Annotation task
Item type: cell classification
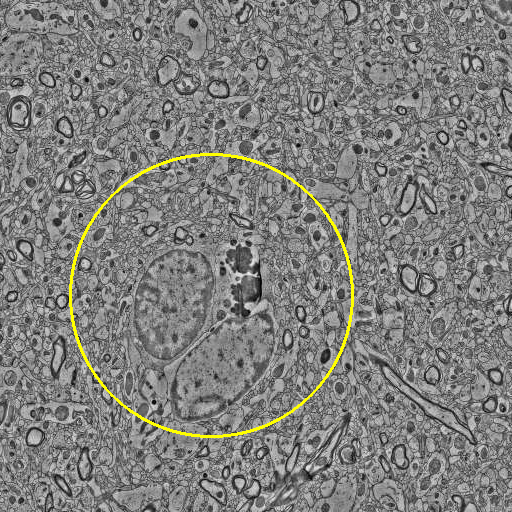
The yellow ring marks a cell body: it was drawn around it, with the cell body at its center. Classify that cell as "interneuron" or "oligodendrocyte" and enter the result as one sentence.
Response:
The ring's center falls on an oligodendrocyte.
